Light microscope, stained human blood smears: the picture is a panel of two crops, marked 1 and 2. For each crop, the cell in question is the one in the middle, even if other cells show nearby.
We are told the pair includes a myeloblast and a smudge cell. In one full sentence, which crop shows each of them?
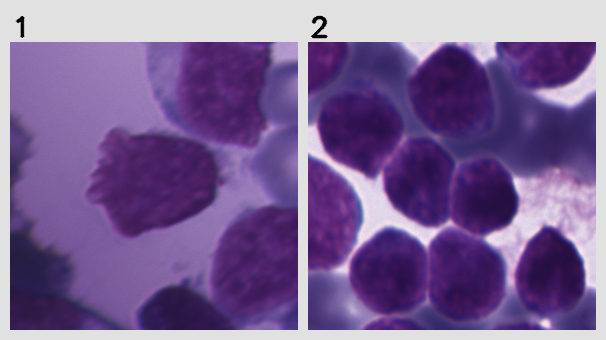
Placed in the middle of crop 1 is a smudge cell, and in the middle of crop 2, a myeloblast.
